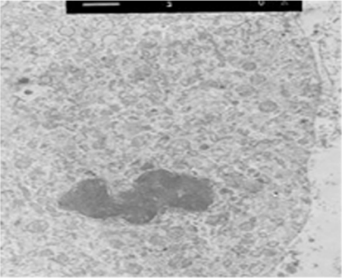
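No pale nucleoplasm surrounds this dark mass. The surrounding cytoplasm is broad and granular, with many small vesicular and membranous profiles spread evenly through it. The cell boundary is seen at one side, with a paler area beyond it.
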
